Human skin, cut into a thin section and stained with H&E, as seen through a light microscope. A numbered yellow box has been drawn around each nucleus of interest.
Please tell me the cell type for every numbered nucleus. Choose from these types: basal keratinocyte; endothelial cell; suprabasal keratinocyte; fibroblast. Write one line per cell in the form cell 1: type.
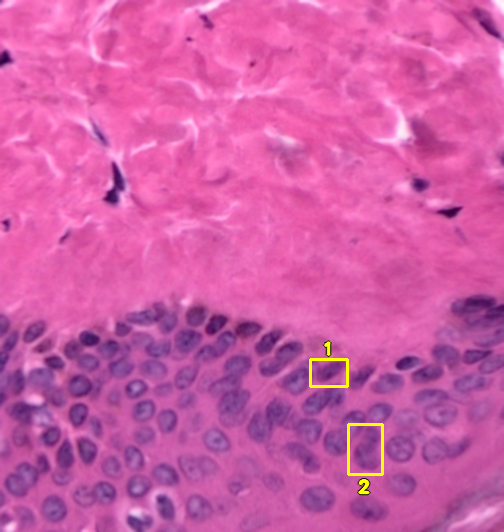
cell 1: basal keratinocyte
cell 2: suprabasal keratinocyte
